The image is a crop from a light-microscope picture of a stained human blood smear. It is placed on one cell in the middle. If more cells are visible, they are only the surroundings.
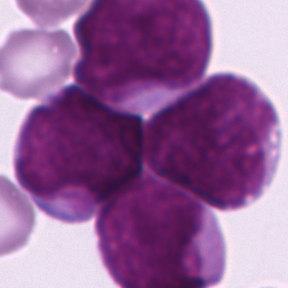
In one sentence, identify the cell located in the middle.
The target cell in the middle of the crop is a myeloblast.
